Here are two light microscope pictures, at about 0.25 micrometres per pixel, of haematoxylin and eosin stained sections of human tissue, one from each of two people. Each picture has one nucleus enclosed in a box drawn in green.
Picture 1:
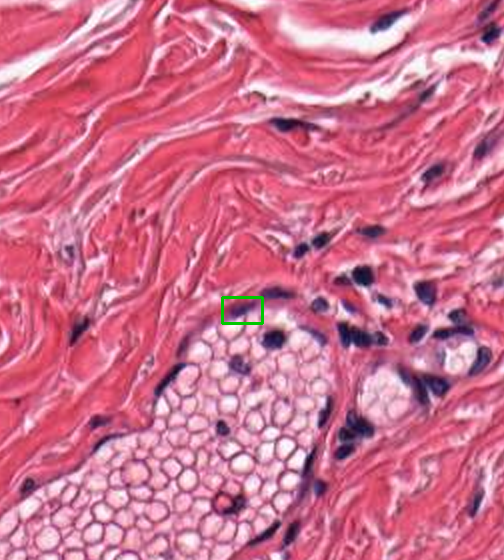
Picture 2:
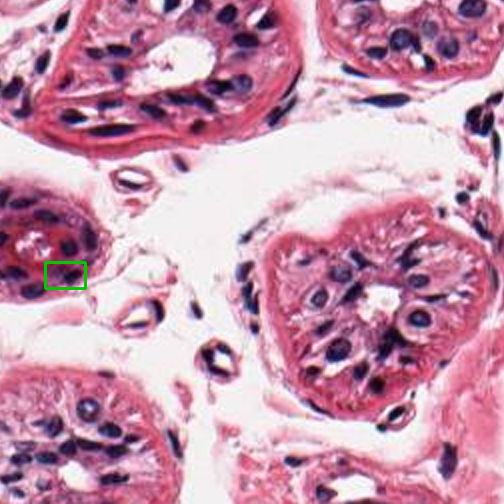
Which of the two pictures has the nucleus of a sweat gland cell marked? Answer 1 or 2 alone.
2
